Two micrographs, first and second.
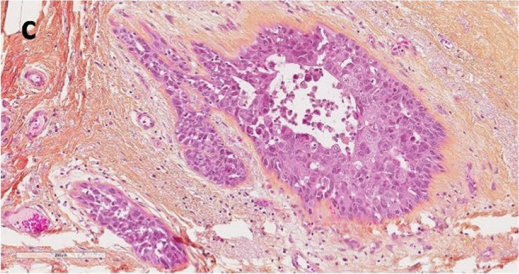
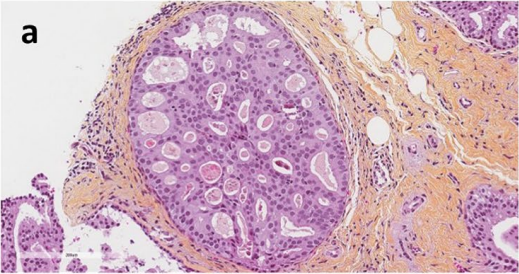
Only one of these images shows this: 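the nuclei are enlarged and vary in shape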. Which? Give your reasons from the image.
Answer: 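First image: nuclei are large and irregular in size and shape. Second image: nuclei are small, round and uniform. That points to this answer: the first image.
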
